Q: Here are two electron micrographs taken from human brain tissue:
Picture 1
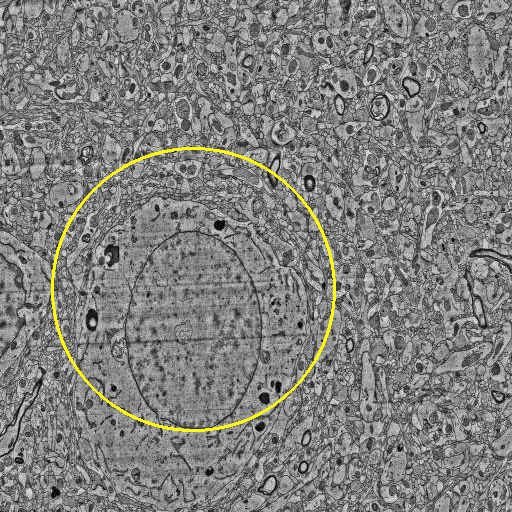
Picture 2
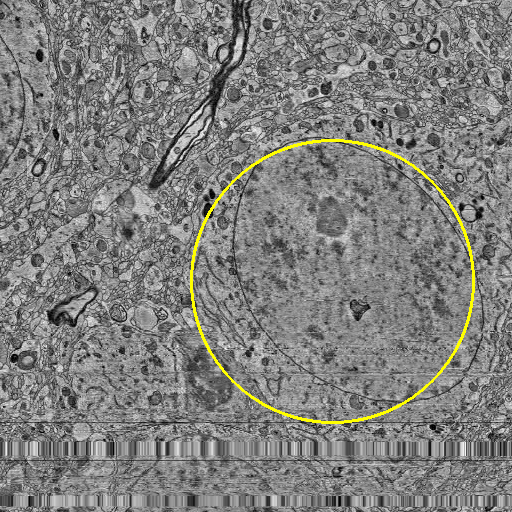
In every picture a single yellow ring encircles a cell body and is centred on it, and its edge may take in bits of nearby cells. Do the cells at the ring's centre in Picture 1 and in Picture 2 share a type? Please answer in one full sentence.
Yes, the cells at the ring's centre in Picture 1 and Picture 2 share a type.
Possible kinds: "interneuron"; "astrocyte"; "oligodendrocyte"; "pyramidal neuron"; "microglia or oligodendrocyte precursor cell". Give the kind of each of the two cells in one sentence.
In each picture the ringed cell is a pyramidal neuron.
